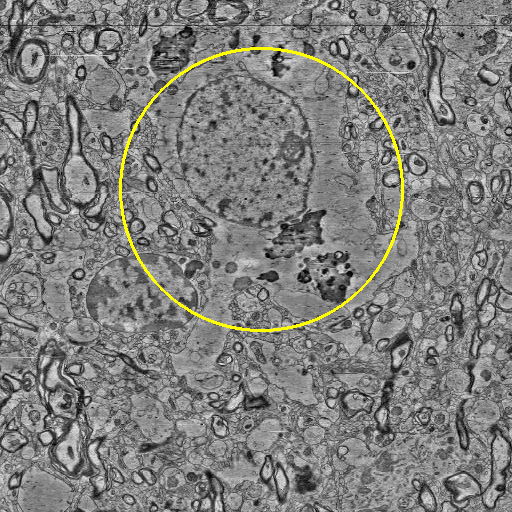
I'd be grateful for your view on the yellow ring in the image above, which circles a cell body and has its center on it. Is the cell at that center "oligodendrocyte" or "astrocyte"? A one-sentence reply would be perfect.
The cell at the center of the yellow ring is an astrocyte.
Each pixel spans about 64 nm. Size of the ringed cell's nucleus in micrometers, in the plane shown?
In this plane the ringed cell's nucleus is roughly 9 micrometres across.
